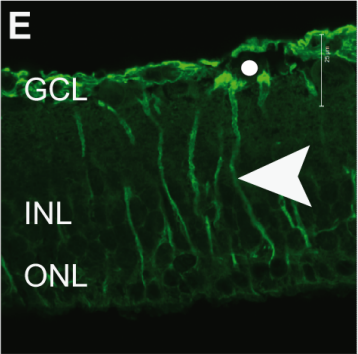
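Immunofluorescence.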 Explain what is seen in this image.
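Retina in cross-section with Müller cells stained green: their processes run as thin vertical filaments across the inner retina toward the outer nuclear layer. Their endfeet form a bright band along the inner surface at the ganglion cell layer, where a vessel is surrounded by green glial processes.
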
